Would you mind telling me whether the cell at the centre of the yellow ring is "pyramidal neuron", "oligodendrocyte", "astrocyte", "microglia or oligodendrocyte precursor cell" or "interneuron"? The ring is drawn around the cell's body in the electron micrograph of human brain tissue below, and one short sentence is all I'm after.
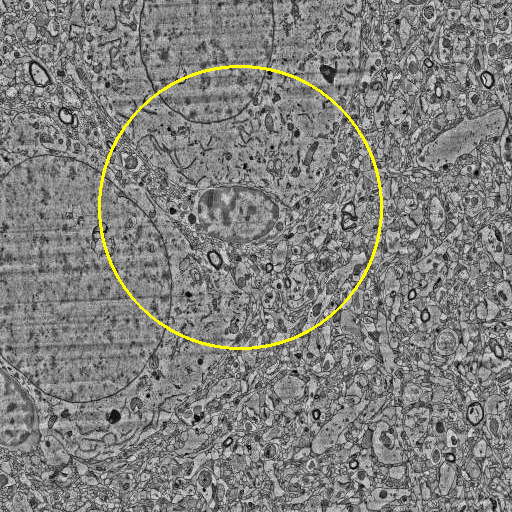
In the centre of the ring lies a microglial cell or oligodendrocyte precursor cell.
